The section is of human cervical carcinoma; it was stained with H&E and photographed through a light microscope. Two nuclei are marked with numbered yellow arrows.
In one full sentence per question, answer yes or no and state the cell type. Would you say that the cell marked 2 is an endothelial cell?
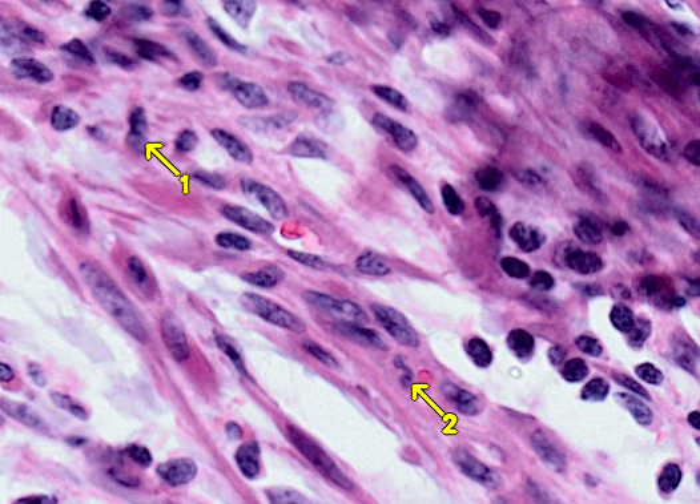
Yes, the cell that is numbered 2 is an endothelial cell.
